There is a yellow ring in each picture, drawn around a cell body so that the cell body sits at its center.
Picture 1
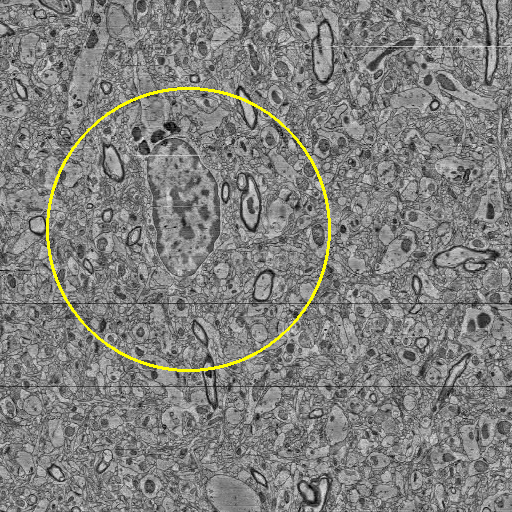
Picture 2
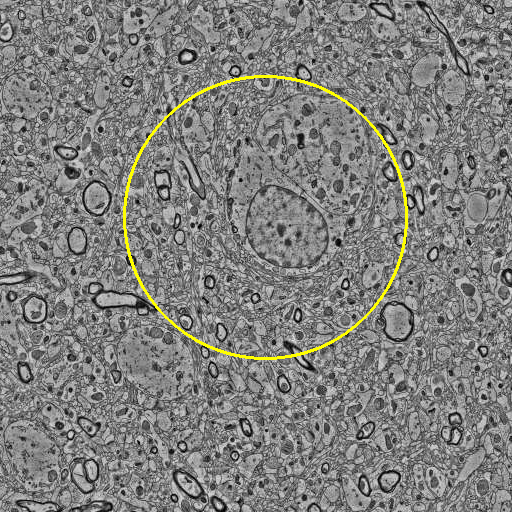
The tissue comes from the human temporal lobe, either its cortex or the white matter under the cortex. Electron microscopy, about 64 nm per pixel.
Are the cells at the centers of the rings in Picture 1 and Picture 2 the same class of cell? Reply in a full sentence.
Yes, the two cells are the same class of cell.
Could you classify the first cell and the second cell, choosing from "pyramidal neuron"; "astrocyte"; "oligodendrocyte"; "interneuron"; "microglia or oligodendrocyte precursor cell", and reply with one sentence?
In each of the two pictures, the ringed cell is a microglial cell or oligodendrocyte precursor cell.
